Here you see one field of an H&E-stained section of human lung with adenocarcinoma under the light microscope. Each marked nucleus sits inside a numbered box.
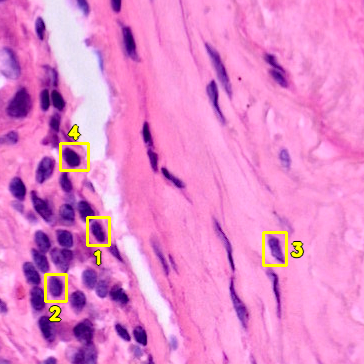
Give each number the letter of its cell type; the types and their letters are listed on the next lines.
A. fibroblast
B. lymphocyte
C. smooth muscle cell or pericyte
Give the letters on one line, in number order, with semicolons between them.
B; B; A; B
